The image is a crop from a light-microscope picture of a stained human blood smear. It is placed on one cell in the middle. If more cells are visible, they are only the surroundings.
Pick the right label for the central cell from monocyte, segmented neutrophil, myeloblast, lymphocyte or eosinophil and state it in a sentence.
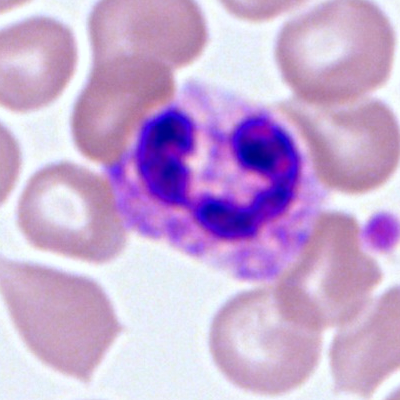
The cell sitting right in the middle is a segmented neutrophil.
